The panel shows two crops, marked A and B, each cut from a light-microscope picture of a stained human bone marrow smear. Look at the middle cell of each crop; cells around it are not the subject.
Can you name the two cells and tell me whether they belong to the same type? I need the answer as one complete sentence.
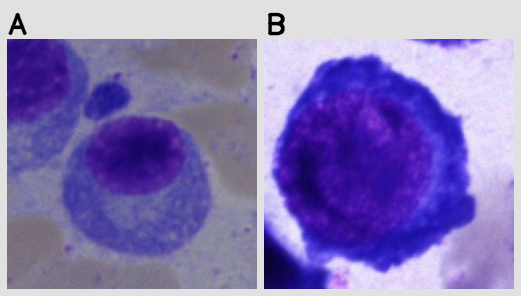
No, in fact crop A shows a plasma cell, and crop B shows a proerythroblast.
